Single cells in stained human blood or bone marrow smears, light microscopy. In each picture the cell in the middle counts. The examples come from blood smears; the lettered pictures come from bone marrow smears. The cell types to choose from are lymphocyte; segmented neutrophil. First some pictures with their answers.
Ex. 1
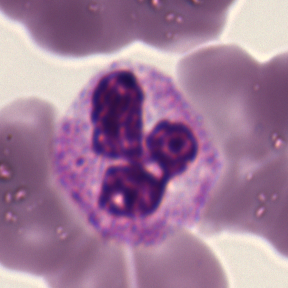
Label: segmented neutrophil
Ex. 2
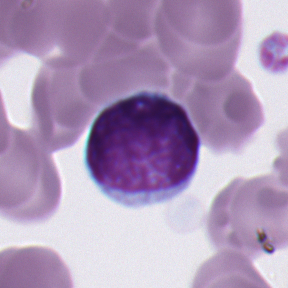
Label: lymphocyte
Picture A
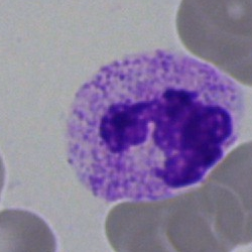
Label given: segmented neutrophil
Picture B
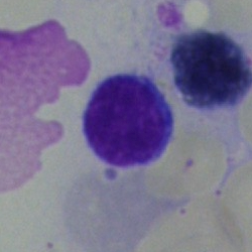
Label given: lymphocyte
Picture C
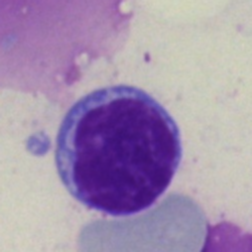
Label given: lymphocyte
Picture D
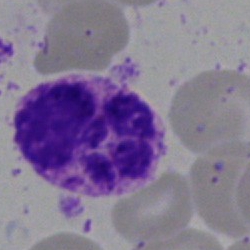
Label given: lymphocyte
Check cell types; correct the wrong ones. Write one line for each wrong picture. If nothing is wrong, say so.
D: not lymphocyte but segmented neutrophil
